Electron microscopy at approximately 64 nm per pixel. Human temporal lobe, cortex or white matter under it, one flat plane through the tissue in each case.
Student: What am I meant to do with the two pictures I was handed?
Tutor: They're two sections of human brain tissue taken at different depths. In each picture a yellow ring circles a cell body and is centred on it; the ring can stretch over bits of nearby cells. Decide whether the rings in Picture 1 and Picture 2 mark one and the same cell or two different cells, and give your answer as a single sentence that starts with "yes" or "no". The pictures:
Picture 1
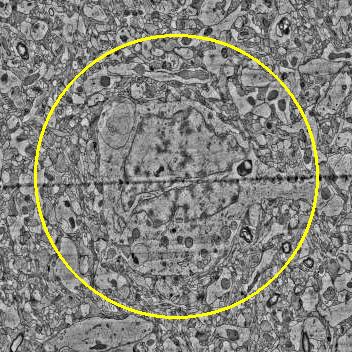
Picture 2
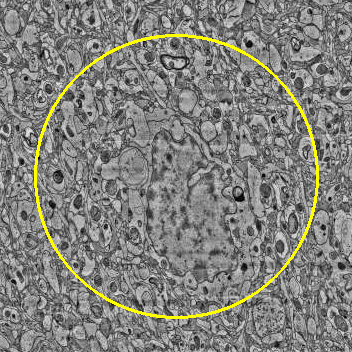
No, each ring in the micrograph marks a distinct cell.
